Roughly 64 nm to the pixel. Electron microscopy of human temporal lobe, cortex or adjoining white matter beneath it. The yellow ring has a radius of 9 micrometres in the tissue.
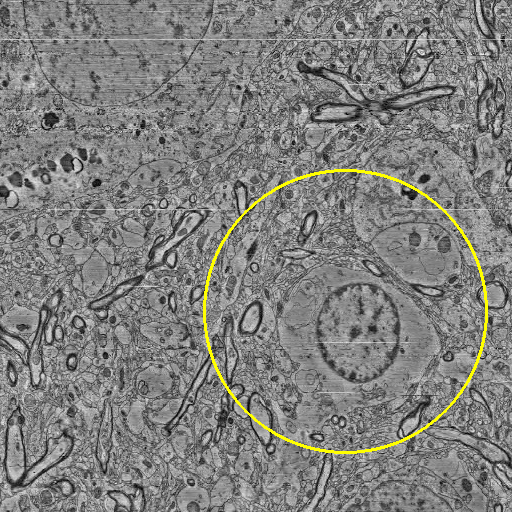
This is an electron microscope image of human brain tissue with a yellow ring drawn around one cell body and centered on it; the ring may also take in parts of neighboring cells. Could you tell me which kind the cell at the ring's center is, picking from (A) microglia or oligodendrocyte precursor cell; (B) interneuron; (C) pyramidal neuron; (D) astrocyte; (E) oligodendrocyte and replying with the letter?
D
